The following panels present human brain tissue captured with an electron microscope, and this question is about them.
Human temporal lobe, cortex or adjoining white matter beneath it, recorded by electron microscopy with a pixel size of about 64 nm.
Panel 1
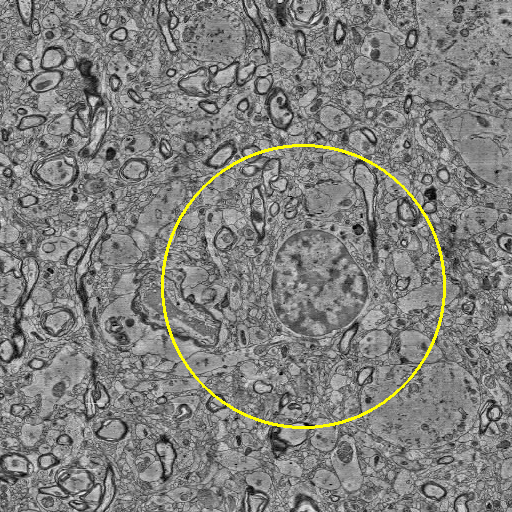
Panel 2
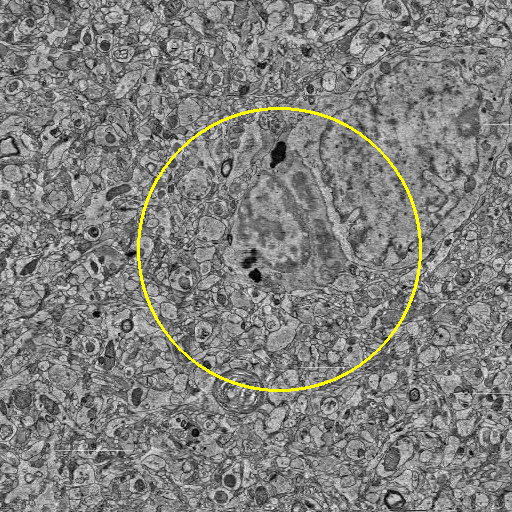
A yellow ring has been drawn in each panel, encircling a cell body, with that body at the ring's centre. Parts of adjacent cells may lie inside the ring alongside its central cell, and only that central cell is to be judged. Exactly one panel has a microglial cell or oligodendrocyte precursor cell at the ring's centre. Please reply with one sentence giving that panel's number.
The ring whose central cell fits the description is the one in panel 1.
